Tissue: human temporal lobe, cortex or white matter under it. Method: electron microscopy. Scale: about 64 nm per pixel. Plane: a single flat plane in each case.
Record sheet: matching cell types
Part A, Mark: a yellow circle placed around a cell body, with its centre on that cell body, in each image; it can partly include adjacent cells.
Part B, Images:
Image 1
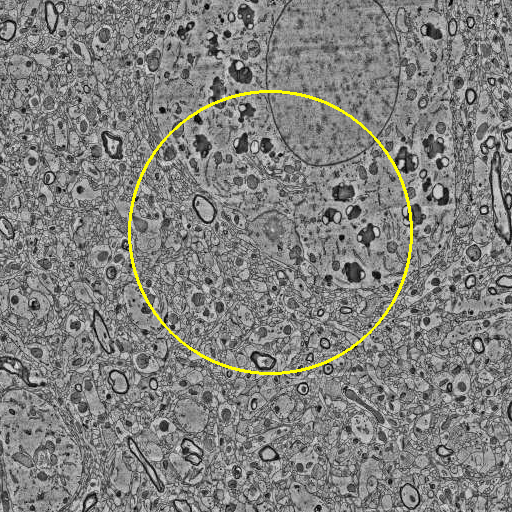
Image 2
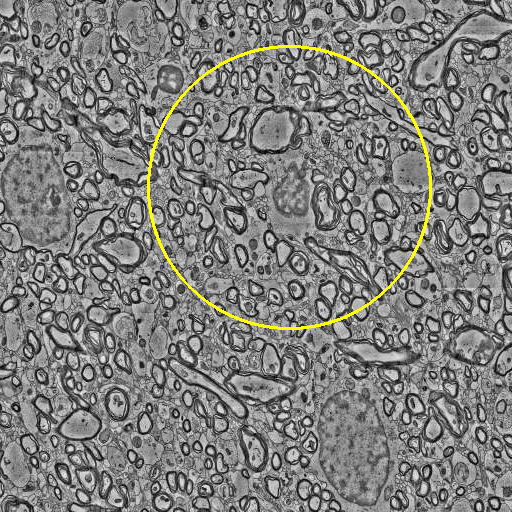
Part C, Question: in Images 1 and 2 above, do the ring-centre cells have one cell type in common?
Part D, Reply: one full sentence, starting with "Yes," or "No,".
Yes, the ring-centre cells of Image 1 and Image 2 are both of a single cell type.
